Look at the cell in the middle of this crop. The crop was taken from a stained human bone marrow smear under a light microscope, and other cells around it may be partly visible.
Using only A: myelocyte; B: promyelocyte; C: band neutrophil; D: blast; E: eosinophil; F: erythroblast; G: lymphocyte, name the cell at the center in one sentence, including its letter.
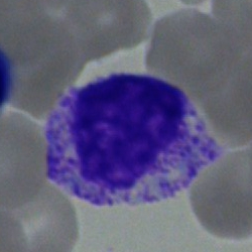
Option A gets it right: the cell in the middle is a myelocyte.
